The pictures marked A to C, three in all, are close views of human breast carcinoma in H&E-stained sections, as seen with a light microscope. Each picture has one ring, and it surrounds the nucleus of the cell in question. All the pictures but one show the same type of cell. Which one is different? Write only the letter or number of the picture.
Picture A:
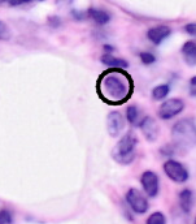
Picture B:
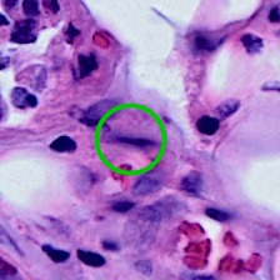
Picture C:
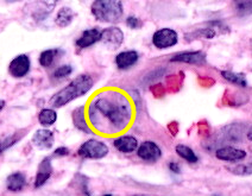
A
